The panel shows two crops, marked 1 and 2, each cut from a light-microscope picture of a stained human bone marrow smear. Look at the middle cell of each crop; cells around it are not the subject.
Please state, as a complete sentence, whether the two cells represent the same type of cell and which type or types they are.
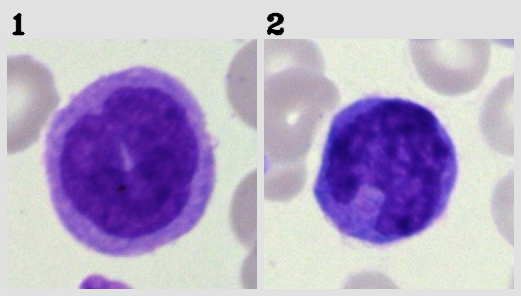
Yes, put down monocytes for both crops.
